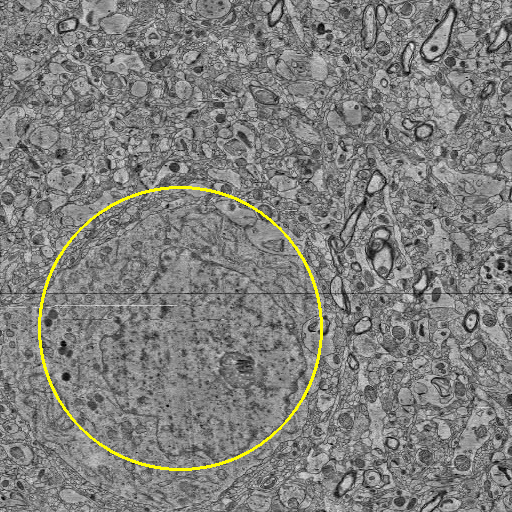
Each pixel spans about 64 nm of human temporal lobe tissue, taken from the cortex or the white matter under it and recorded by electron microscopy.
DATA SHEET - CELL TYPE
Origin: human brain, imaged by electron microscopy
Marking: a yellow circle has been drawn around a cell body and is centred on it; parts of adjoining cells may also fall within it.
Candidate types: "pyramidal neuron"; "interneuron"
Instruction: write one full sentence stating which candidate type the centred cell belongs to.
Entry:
The cell body at the centre of the yellow ring in this micrograph belongs to an interneuron.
